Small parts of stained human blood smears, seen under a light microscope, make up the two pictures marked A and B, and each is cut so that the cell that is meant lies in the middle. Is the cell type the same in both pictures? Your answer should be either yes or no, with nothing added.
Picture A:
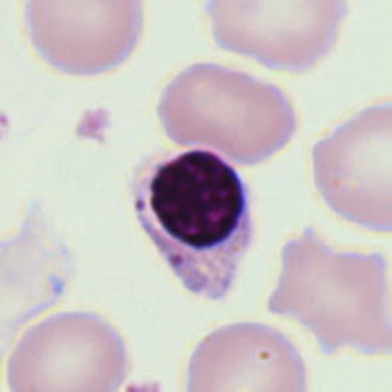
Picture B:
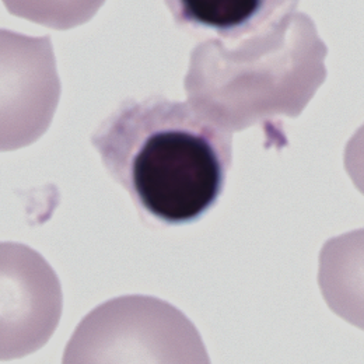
yes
